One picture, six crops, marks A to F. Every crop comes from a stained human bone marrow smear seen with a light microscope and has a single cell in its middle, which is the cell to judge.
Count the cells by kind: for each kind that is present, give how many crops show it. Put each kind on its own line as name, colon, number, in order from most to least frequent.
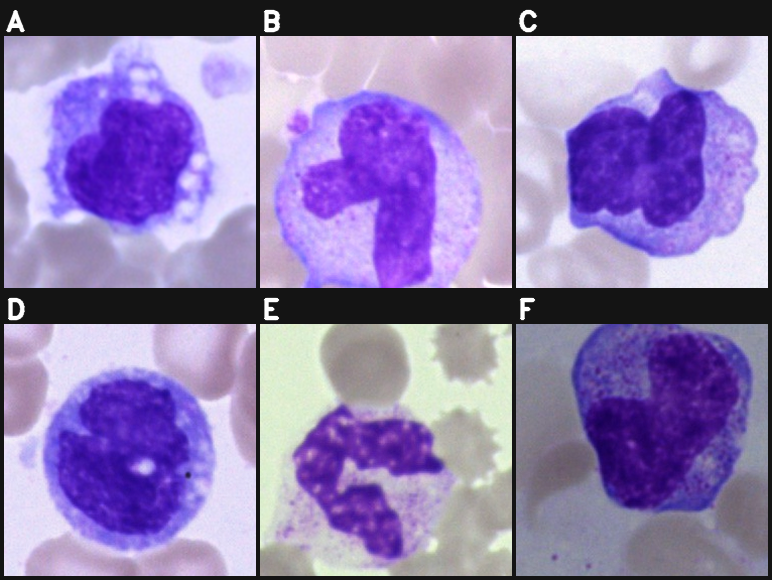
monocyte: 5
segmented neutrophil: 1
